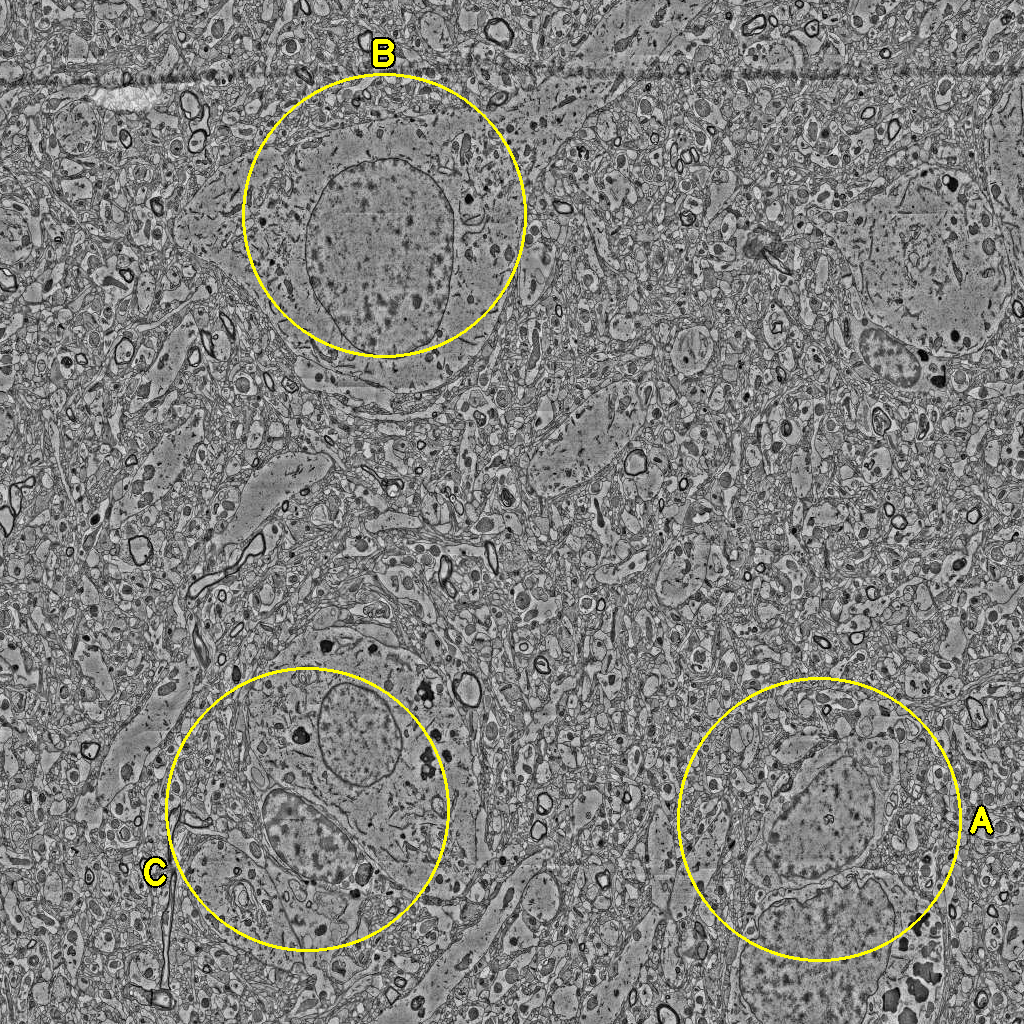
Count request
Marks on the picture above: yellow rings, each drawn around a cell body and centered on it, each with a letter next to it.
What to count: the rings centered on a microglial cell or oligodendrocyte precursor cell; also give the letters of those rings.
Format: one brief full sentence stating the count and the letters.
Of the lettered yellow rings, just one is centred on a microglial cell or oligodendrocyte precursor cell, and its letter is C.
